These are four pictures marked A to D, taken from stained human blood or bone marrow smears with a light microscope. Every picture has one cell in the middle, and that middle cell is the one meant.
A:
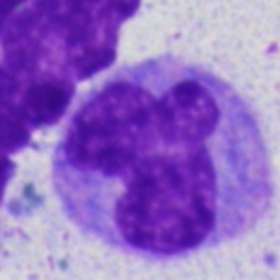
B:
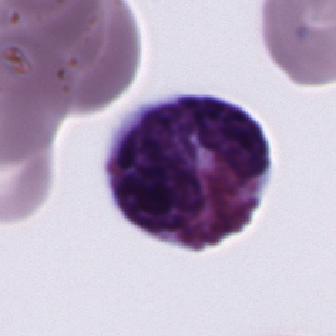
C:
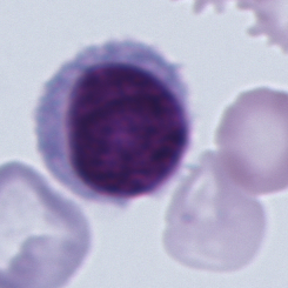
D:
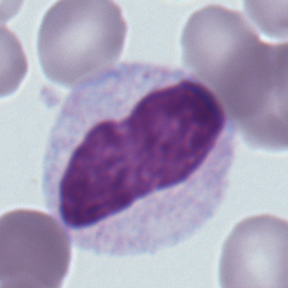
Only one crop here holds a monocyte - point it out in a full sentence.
Crop A is the crop that displays a monocyte.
